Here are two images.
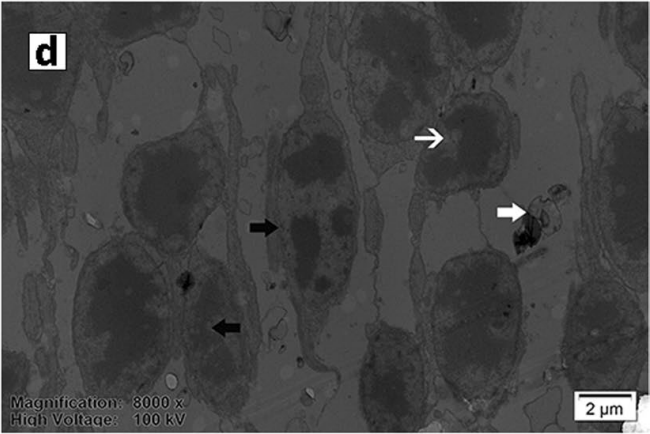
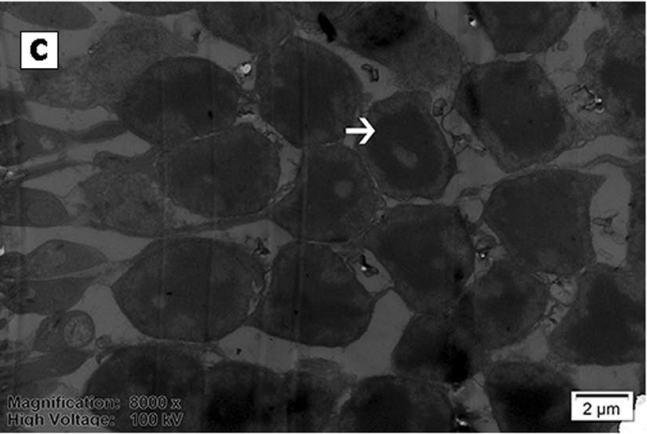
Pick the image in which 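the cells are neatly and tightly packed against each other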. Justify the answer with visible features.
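The second image. First image: the cells are spaced apart with wide pale gaps between them. Second image: oval cell bodies lie closely packed with only narrow spaces between them.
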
